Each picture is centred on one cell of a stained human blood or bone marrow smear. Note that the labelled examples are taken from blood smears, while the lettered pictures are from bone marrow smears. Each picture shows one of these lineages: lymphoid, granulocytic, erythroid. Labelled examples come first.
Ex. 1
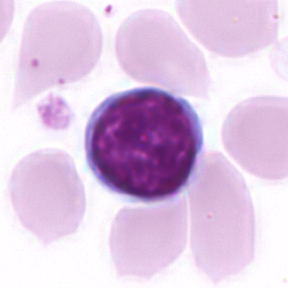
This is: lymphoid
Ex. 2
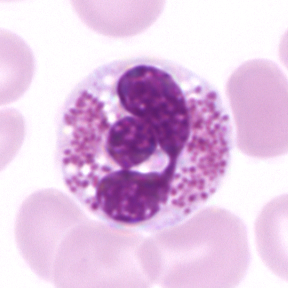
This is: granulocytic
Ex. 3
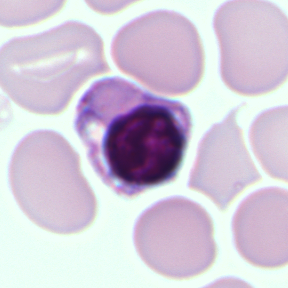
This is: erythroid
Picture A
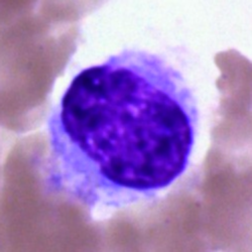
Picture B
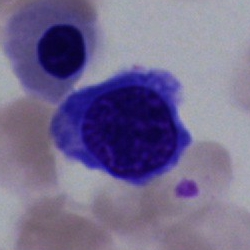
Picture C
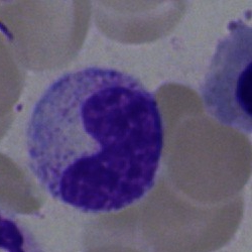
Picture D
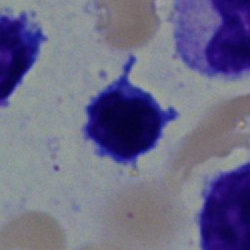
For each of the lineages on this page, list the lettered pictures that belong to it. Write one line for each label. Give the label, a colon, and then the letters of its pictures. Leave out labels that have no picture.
lymphoid: A, D
granulocytic: C
erythroid: B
